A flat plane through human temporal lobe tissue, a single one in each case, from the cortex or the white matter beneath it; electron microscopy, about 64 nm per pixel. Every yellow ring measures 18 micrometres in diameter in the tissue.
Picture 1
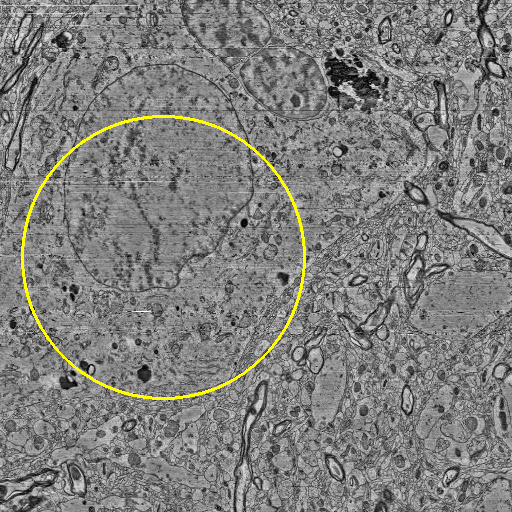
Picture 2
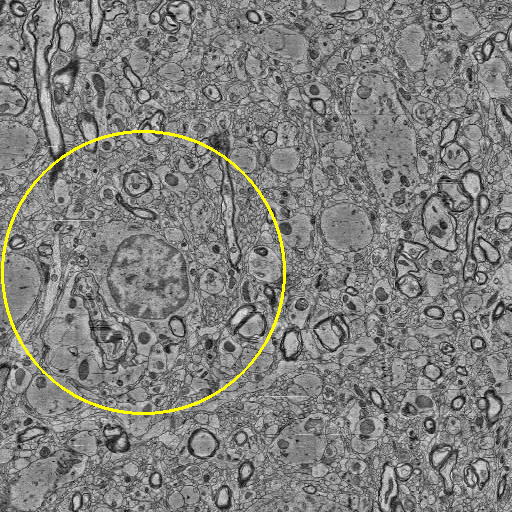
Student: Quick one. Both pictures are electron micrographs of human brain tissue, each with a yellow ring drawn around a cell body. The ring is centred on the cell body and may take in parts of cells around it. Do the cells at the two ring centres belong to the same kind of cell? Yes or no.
no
